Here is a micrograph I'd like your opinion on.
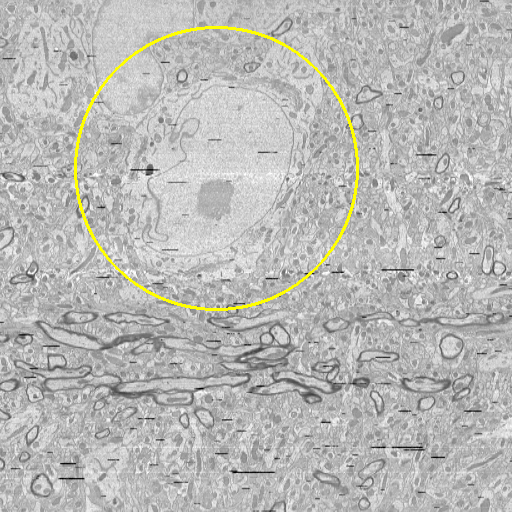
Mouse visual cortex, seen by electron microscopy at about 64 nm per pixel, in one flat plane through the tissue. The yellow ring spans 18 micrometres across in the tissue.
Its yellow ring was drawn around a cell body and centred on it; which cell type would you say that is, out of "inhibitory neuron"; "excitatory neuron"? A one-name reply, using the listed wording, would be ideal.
excitatory neuron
